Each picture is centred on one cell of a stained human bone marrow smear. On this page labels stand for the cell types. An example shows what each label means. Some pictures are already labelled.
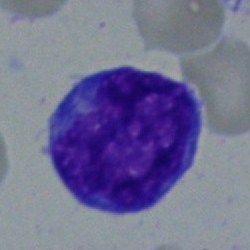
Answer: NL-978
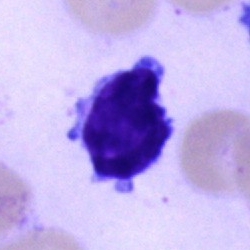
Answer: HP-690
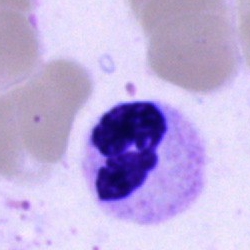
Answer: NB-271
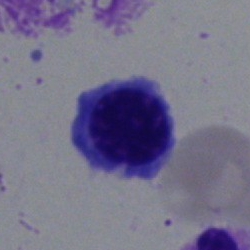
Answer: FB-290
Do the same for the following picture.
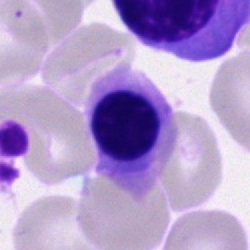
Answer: FB-290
